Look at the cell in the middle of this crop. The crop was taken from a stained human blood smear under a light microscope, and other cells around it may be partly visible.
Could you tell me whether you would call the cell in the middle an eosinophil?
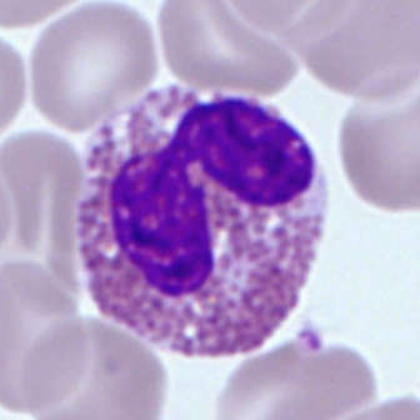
yes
